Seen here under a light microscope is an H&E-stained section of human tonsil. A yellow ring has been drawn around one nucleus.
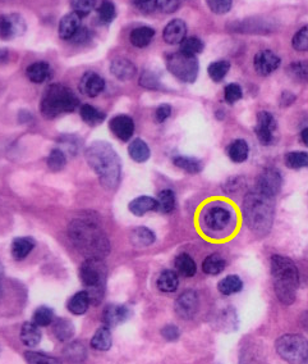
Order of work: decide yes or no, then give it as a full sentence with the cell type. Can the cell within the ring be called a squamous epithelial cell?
No, for the cell within the ring the correct label is a plasma cell and not a squamous epithelial cell.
